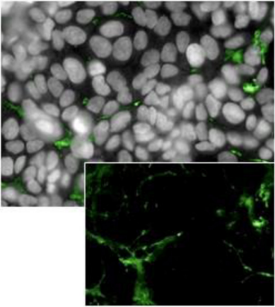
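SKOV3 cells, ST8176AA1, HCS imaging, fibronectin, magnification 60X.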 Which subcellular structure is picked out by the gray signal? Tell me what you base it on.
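Nucleus. They are crowded in a sheet with thin dark gaps between them.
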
